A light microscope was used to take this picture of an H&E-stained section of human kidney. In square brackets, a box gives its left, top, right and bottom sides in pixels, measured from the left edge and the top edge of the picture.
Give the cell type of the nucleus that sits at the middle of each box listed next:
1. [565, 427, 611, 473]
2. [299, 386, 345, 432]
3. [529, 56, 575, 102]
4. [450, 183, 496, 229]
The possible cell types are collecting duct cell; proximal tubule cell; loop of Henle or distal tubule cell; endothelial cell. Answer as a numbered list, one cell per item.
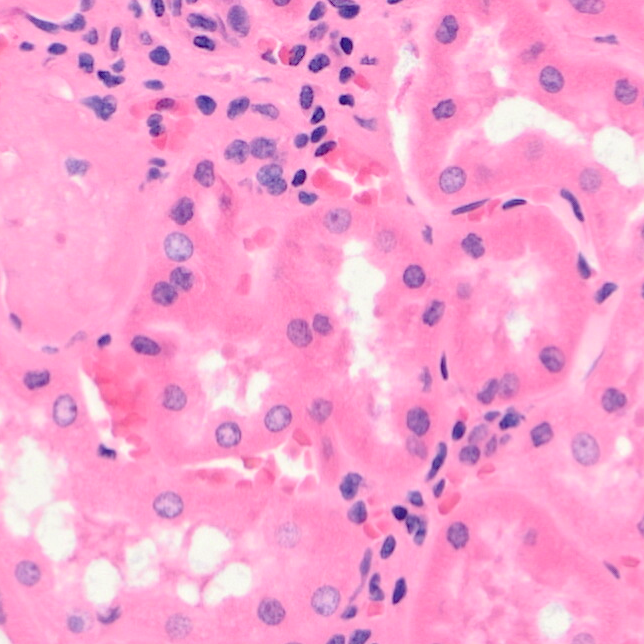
1. proximal tubule cell
2. proximal tubule cell
3. proximal tubule cell
4. endothelial cell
